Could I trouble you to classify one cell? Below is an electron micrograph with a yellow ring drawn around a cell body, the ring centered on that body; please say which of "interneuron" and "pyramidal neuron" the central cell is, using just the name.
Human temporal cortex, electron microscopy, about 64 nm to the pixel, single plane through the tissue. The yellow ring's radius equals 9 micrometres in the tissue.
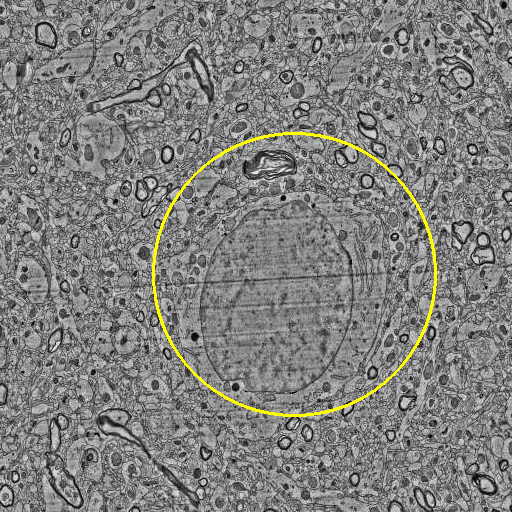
interneuron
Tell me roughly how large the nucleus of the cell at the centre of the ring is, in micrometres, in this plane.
Roughly 13 by 10 micrometres is the size of the nucleus in this plane.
